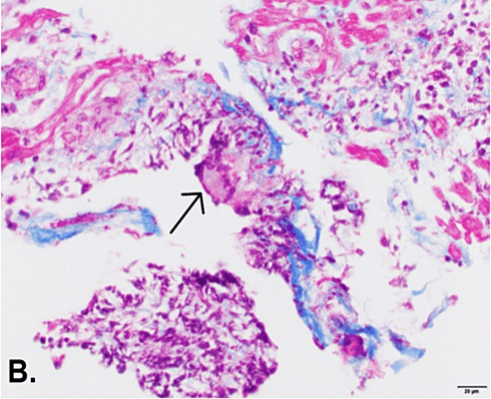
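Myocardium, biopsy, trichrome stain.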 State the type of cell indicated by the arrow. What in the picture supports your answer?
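Giant cell. The arrowed cell is a large purple-red cell body. It is larger than the surrounding inflammatory cells.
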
